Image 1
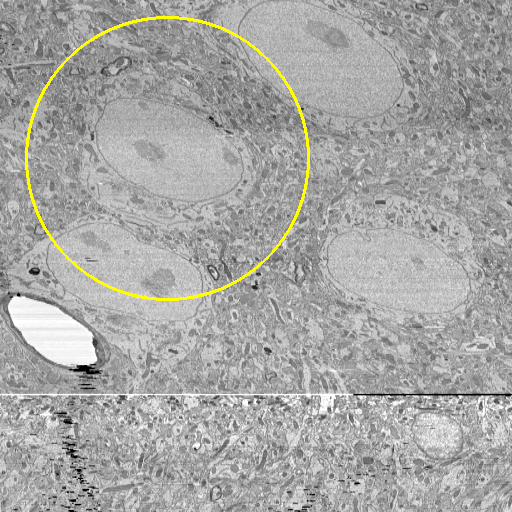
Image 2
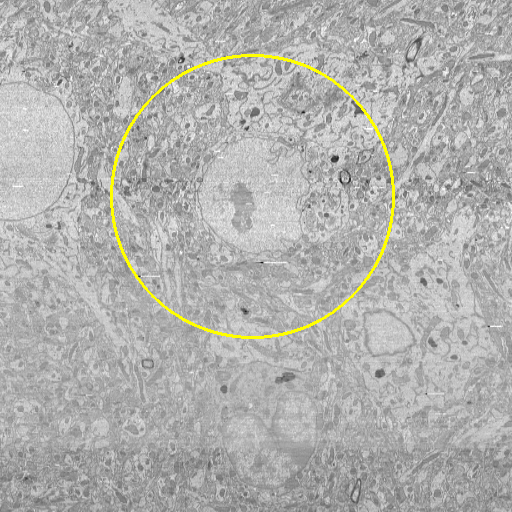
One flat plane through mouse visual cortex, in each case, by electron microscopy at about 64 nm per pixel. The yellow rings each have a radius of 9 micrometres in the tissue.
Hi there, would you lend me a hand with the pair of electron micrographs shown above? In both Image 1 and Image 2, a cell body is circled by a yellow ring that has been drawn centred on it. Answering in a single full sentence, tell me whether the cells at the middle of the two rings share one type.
No, the ringed cells in Image 1 and Image 2 belong to two types.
